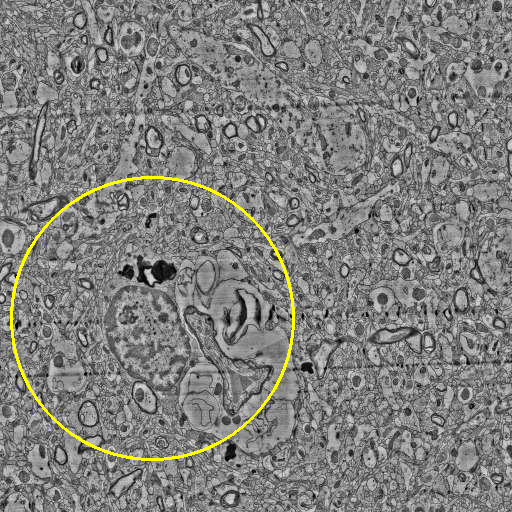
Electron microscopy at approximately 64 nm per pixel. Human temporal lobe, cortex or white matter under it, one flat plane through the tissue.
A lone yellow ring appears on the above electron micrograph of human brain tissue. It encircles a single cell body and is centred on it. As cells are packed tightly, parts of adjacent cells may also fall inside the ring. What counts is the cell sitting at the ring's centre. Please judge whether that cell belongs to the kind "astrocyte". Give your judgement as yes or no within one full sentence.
No, the cell lying at the centre of the ring in the picture belongs to another kind.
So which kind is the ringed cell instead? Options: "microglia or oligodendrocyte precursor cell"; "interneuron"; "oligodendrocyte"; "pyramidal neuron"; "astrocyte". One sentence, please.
Sitting at the ring centre is an oligodendrocyte.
